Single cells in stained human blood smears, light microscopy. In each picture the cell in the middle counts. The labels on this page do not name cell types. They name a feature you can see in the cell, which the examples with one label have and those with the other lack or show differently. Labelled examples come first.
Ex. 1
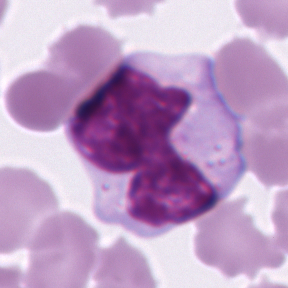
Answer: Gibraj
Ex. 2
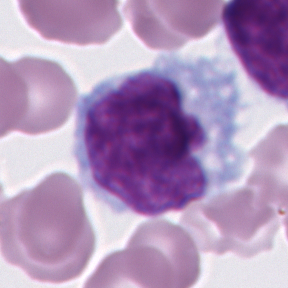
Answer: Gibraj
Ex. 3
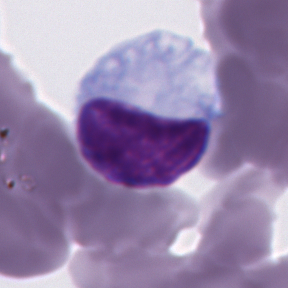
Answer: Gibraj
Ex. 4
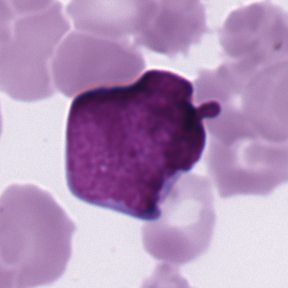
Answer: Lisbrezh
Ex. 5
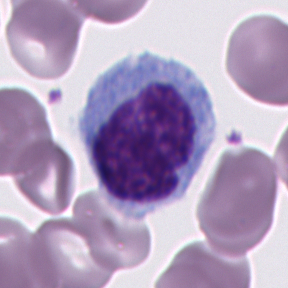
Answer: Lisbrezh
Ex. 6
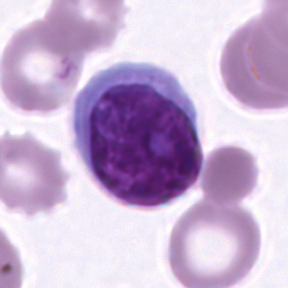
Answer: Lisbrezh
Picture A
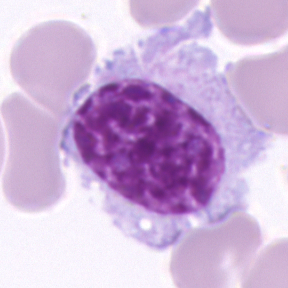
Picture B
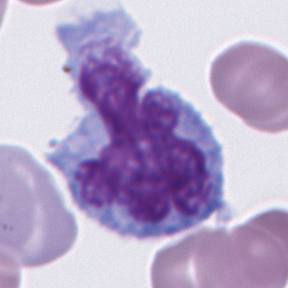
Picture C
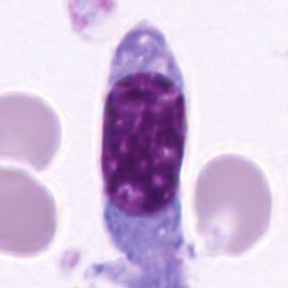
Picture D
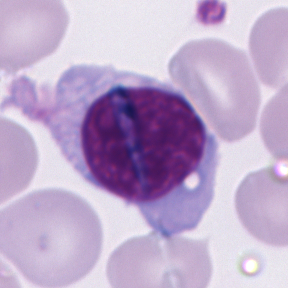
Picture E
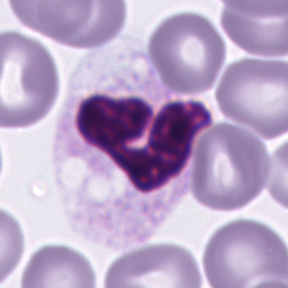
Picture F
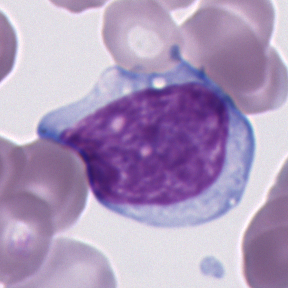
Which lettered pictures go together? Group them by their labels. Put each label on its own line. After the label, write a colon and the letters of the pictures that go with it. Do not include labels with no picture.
Gibraj: A, C, D, E, F
Lisbrezh: B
